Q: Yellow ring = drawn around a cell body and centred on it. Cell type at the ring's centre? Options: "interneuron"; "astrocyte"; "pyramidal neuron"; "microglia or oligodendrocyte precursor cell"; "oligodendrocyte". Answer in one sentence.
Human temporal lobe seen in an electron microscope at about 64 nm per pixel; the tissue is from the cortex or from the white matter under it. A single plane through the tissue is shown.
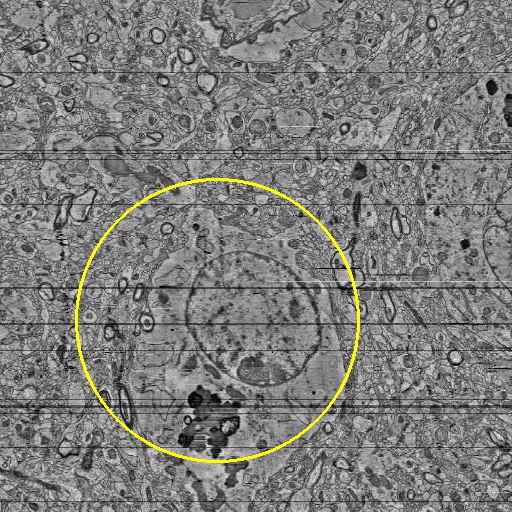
Centred in the ring is an astrocyte.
